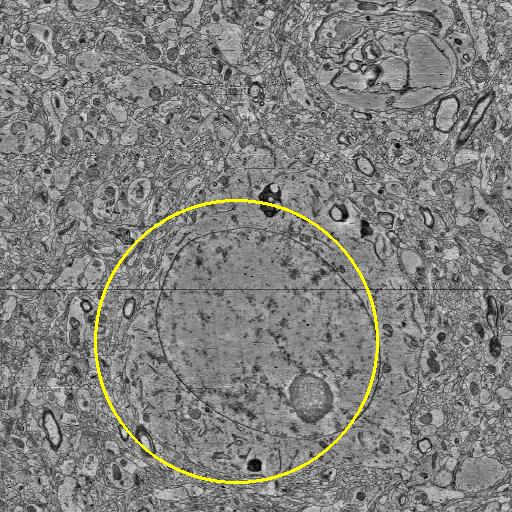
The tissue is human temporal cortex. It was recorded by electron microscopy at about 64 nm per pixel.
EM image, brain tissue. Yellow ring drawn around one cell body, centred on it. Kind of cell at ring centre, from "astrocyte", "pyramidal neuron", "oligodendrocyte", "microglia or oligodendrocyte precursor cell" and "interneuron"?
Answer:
pyramidal neuron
